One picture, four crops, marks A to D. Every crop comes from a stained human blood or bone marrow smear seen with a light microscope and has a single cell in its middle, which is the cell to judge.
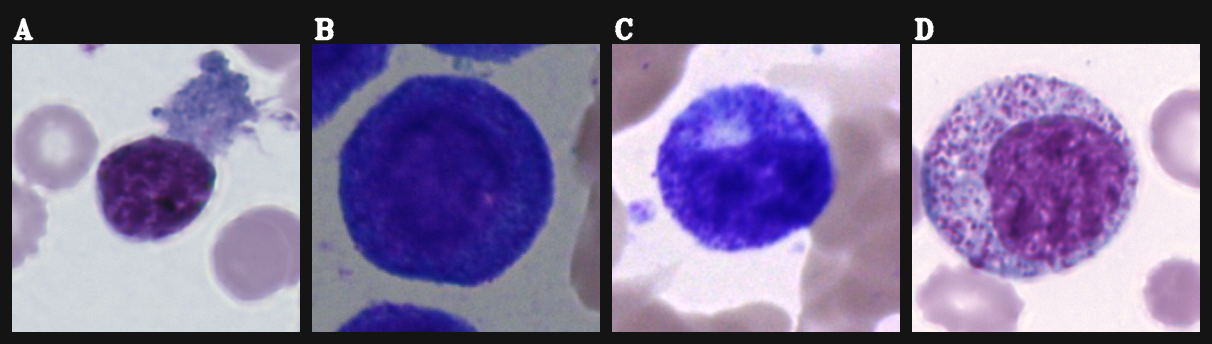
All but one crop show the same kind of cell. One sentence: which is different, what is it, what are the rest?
Crop A is different, showing a plasma cell, whereas all the others show promyelocytes.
